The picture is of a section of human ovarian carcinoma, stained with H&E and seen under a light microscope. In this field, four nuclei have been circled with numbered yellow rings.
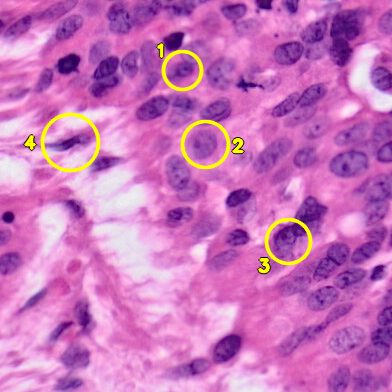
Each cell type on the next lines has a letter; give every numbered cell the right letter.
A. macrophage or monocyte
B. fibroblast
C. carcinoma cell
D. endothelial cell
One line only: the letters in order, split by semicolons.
C; C; C; B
